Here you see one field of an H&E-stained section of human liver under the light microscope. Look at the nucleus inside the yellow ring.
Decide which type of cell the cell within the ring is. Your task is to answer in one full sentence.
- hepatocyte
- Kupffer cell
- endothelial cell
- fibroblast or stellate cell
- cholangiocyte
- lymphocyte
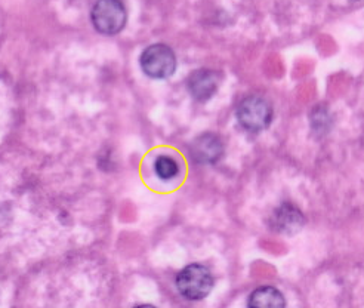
In this tissue section, the cell within the ring is to be classed as a lymphocyte.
